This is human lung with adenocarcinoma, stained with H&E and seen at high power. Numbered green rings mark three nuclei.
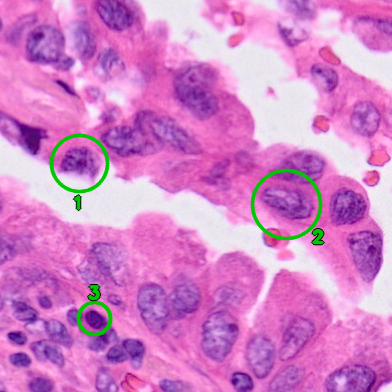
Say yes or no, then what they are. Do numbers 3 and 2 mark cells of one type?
No, cell 3 is a plasma cell and cell 2 is a carcinoma cell.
